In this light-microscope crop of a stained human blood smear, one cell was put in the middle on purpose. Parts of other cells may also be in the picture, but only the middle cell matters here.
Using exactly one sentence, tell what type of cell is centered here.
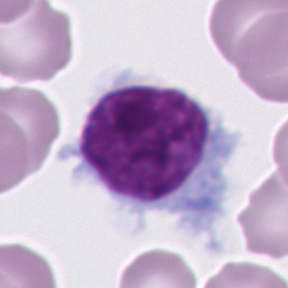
Occupying the centre of the crop is a hairy cell.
